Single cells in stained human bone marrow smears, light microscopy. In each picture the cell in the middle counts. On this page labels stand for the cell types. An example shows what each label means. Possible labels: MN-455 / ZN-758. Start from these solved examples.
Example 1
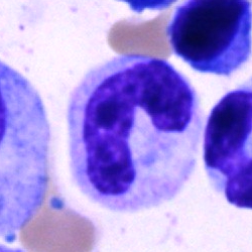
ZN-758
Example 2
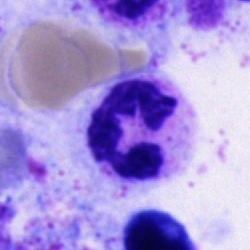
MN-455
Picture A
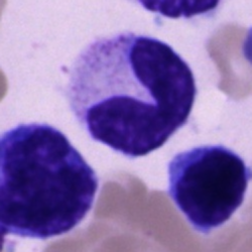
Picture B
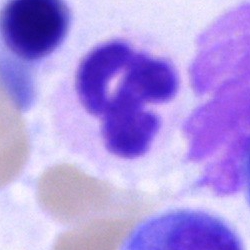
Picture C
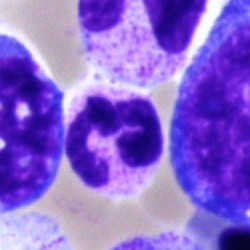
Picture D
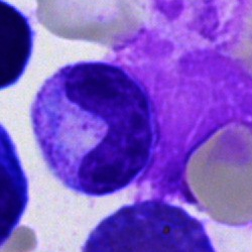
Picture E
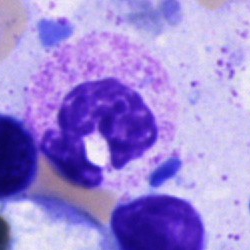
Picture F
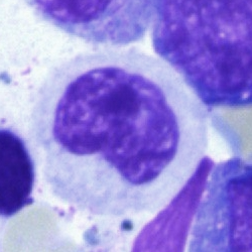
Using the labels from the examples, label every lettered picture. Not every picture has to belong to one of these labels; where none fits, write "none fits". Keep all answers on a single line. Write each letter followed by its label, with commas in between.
A ZN-758, B MN-455, C MN-455, D ZN-758, E MN-455, F ZN-758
